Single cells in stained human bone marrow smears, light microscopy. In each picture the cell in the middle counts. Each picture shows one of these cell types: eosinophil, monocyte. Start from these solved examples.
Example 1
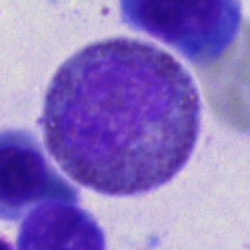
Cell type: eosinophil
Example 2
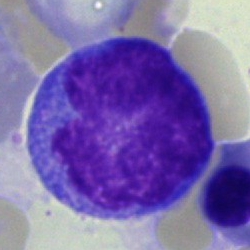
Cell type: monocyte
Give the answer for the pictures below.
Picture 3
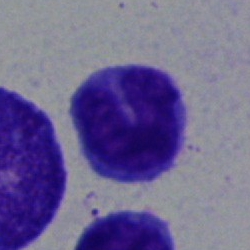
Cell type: monocyte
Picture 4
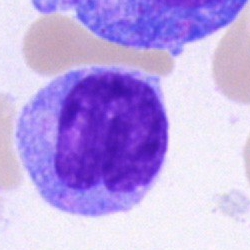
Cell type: monocyte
